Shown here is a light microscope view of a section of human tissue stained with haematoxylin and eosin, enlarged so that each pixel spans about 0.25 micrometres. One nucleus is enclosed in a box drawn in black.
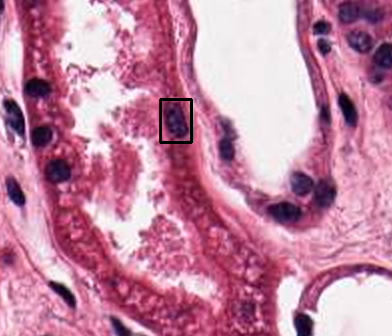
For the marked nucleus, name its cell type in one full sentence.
In the section shown, the marked nucleus belongs to a proximal tubule cell.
